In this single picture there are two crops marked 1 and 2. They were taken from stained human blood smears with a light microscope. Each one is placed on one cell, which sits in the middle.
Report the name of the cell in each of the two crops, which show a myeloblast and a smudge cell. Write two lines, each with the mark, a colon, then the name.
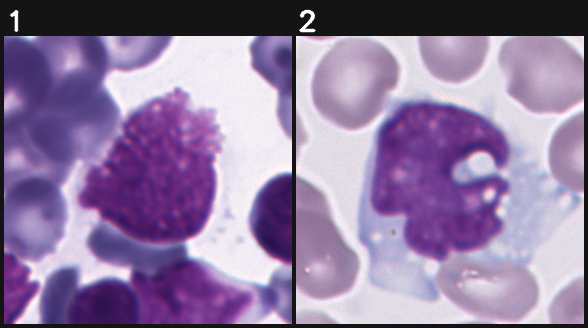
1: smudge cell
2: myeloblast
